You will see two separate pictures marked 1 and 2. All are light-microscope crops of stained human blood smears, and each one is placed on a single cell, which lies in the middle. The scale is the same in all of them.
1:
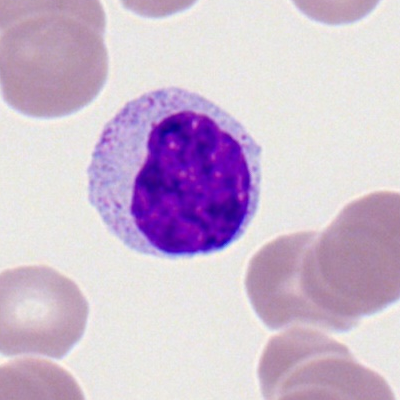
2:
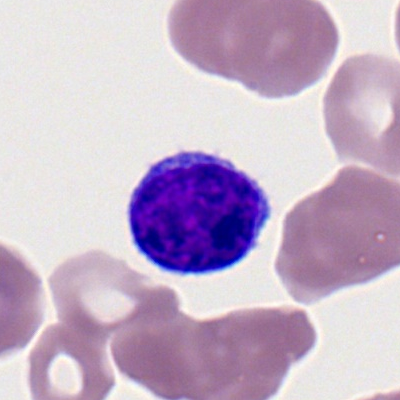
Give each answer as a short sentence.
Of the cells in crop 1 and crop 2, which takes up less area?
Smaller is the cell in crop 2, and the other is about 1.5 times as large in area.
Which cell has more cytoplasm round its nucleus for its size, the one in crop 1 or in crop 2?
It is the cell in crop 1 that is filled less by its nucleus.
